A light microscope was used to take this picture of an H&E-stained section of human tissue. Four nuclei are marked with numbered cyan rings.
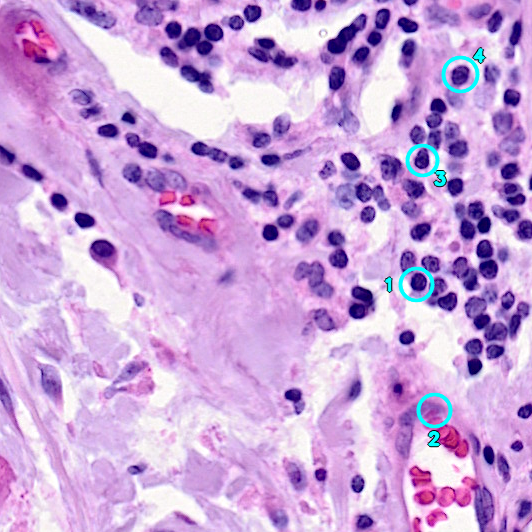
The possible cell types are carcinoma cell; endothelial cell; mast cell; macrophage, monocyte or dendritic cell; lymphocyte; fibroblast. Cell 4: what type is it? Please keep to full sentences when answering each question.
The correct answer for cell 4 is a lymphocyte.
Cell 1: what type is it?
The cell referenced by the number 1 is a lymphocyte in this field.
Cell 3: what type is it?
The cell given label 3 is a lymphocyte.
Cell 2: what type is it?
The cell assigned the number 2 is an endothelial cell.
